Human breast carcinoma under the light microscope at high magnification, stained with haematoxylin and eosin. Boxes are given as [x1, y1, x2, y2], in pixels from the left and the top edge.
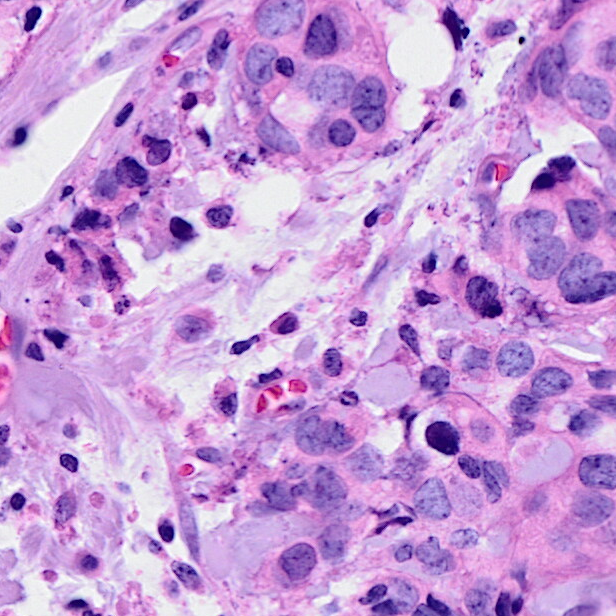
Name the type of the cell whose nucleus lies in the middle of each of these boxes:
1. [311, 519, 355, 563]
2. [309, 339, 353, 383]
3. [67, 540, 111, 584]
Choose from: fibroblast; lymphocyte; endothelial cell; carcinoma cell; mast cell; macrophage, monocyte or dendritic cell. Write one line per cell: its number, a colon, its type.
1: carcinoma cell
2: mast cell
3: mast cell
